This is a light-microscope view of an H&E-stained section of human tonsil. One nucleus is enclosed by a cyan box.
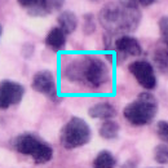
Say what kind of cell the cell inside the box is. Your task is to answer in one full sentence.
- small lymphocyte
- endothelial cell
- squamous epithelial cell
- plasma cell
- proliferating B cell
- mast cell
The expected answer is simply that the cell inside the box is a proliferating B cell.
